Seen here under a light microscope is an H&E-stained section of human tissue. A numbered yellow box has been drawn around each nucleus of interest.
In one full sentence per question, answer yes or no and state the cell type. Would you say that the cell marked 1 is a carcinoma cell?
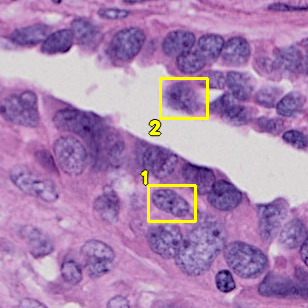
No, in terms of cell type, cell 1 is a macrophage or monocyte, not a carcinoma cell.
